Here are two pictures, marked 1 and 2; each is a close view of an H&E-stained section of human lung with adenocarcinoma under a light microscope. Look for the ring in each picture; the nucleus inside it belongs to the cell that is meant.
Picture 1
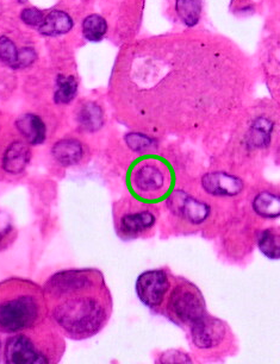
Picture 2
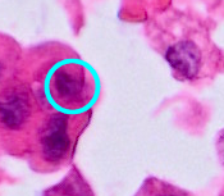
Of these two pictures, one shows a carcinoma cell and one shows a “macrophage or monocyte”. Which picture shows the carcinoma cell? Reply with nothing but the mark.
2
